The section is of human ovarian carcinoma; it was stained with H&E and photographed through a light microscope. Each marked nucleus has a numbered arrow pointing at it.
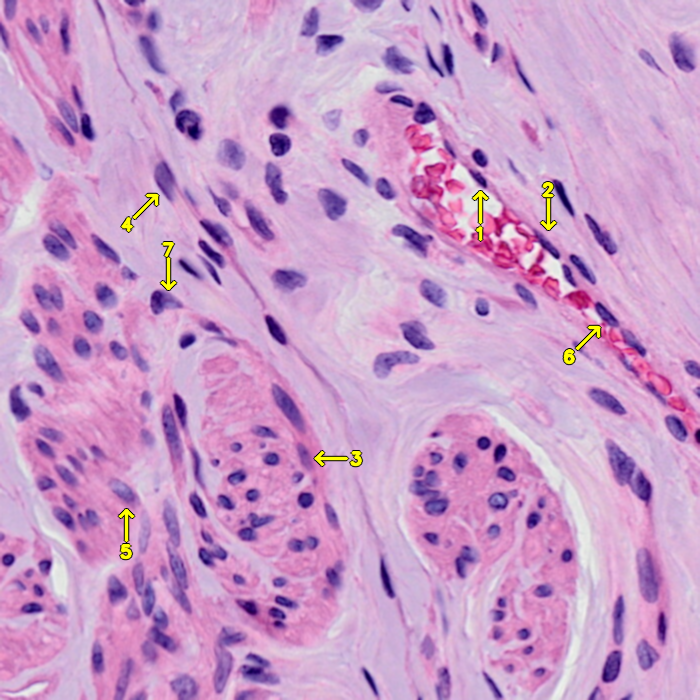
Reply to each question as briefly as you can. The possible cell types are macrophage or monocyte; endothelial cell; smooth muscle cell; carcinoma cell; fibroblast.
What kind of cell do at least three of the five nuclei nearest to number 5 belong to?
smooth muscle cell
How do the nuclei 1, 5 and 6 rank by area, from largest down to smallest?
5, 6, 1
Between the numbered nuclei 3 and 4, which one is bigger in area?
4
